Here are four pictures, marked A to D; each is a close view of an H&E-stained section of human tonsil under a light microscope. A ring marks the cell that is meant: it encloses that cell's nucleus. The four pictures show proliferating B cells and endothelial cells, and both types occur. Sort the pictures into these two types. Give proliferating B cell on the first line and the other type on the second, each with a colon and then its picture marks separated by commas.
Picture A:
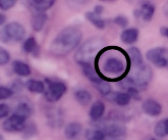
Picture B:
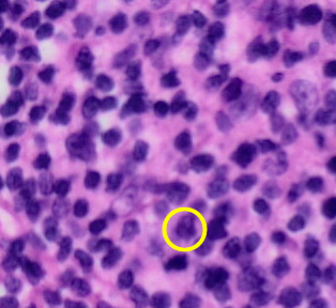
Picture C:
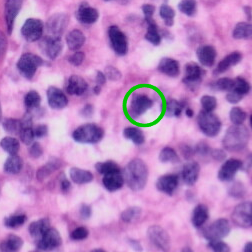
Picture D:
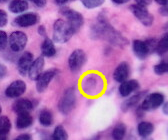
proliferating B cell: B, C
endothelial cell: A, D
